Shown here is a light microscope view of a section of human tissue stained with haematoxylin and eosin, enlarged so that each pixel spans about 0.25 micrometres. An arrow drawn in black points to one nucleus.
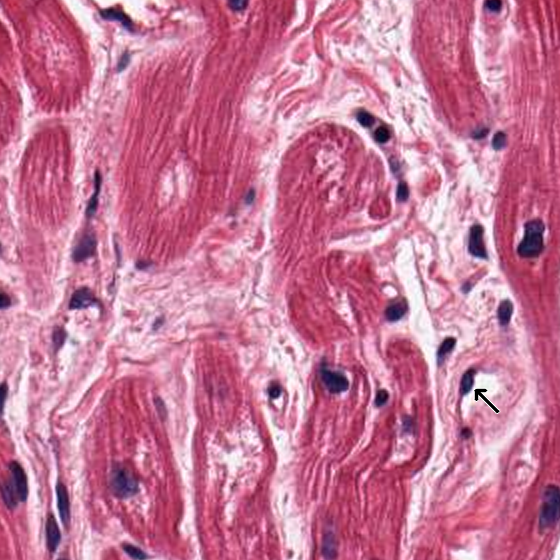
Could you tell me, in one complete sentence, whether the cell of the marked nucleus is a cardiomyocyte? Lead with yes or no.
No, the marked nucleus, rather than belonging to a cardiomyocyte, belongs to a supporting cell.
